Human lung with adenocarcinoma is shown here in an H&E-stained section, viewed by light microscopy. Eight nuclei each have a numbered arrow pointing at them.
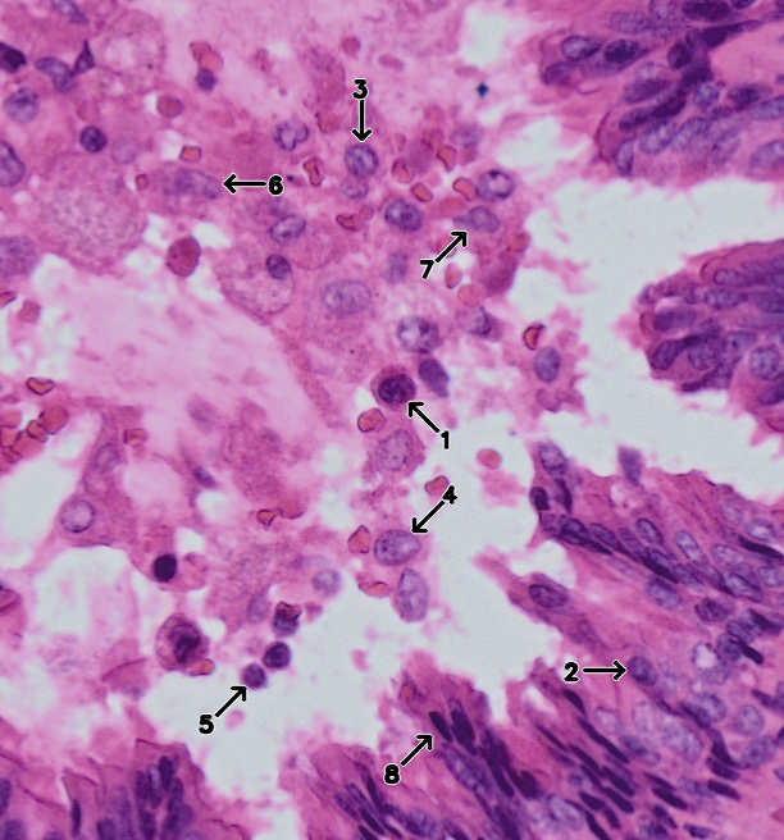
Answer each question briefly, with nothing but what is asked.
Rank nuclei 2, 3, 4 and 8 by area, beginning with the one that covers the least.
8, 2, 3, 4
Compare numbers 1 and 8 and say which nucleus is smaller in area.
8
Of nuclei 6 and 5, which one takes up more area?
6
